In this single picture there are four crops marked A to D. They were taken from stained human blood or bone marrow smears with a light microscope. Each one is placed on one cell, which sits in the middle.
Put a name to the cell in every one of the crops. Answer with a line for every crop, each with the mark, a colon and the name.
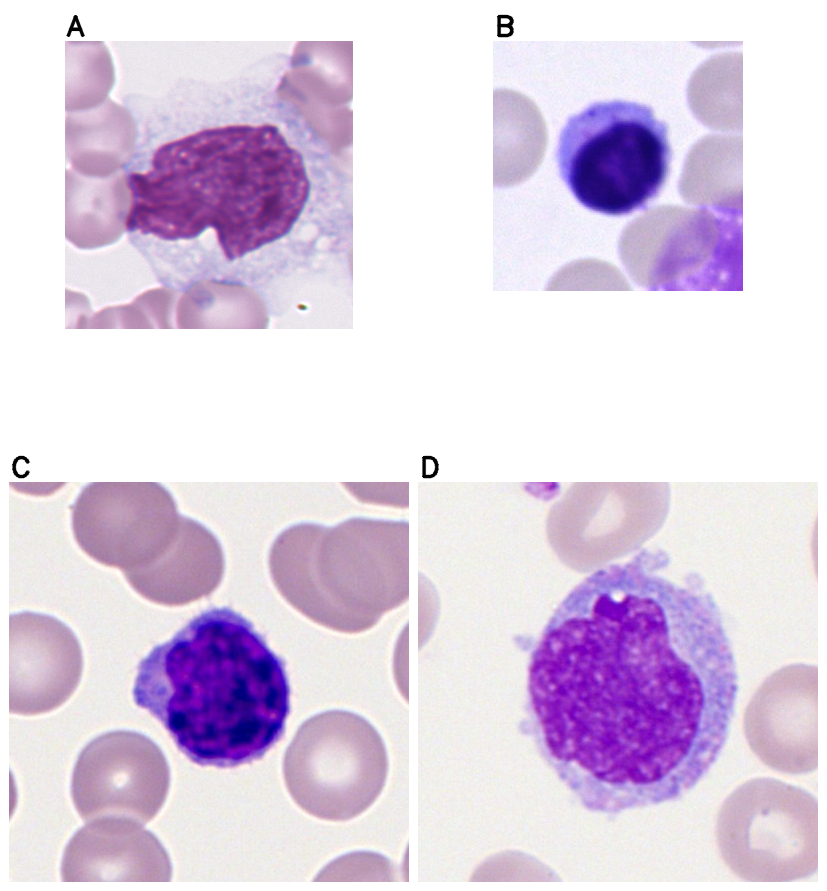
A: monocyte
B: lymphocyte
C: lymphocyte
D: monocyte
